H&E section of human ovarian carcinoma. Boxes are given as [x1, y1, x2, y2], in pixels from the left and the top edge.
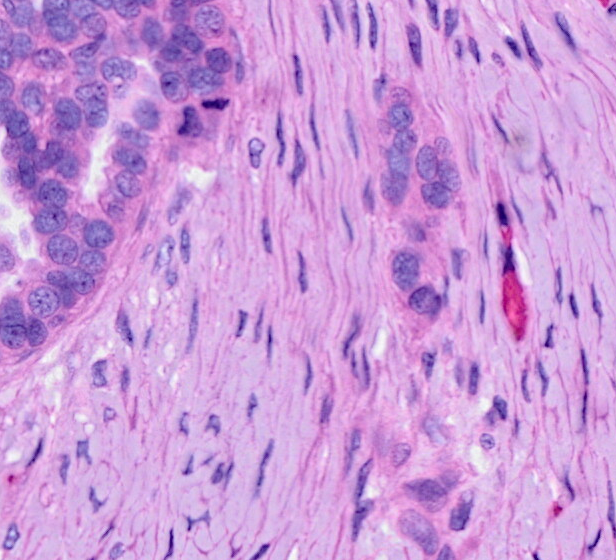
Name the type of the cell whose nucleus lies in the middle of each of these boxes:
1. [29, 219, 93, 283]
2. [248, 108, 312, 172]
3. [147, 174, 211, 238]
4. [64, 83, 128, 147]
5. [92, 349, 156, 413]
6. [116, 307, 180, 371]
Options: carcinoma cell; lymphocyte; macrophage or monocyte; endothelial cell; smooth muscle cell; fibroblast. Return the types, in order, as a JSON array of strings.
["carcinoma cell", "fibroblast", "fibroblast", "carcinoma cell", "fibroblast", "fibroblast"]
